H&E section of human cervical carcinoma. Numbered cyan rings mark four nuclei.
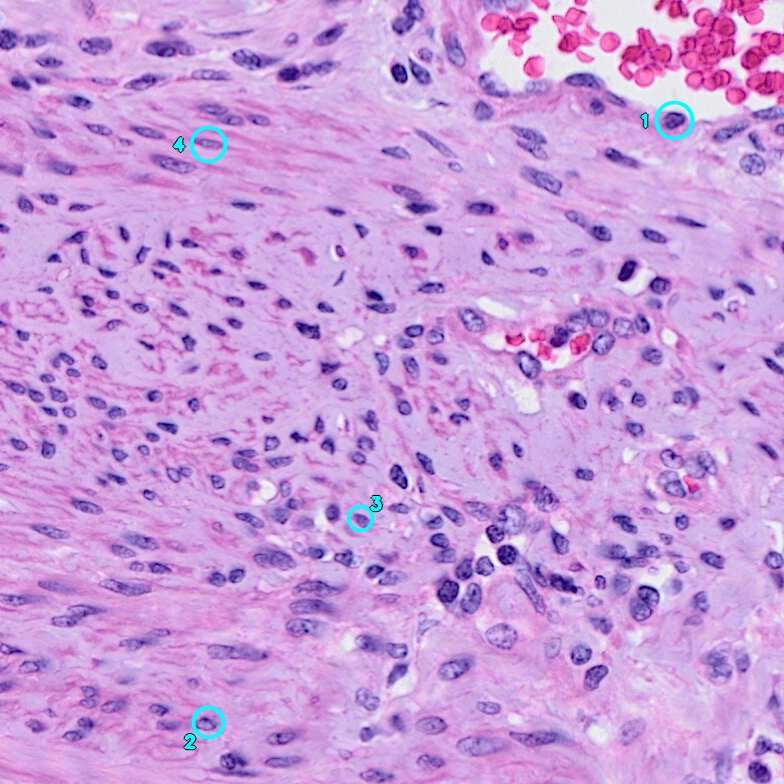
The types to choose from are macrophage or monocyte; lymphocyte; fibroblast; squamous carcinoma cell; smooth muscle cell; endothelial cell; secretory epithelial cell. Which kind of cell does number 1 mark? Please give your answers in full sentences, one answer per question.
Cell 1 is classified as an endothelial cell.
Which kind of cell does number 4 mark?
Classified as a smooth muscle cell is the cell with the number 4.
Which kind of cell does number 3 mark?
Cell 3 is classified as a smooth muscle cell.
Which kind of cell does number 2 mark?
The marked cell with the number 2 is recognised as a smooth muscle cell.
